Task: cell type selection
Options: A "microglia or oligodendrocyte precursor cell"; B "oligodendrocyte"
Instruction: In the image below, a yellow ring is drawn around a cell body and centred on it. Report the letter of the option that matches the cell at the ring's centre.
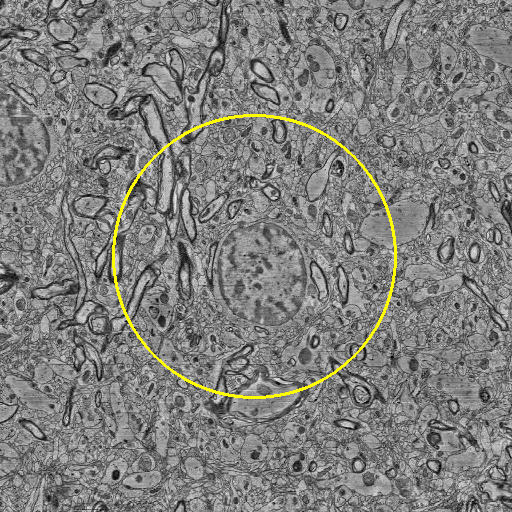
B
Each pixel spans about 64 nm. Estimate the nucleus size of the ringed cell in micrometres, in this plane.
The nucleus appears roughly 7 by 6 micrometres in this plane.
